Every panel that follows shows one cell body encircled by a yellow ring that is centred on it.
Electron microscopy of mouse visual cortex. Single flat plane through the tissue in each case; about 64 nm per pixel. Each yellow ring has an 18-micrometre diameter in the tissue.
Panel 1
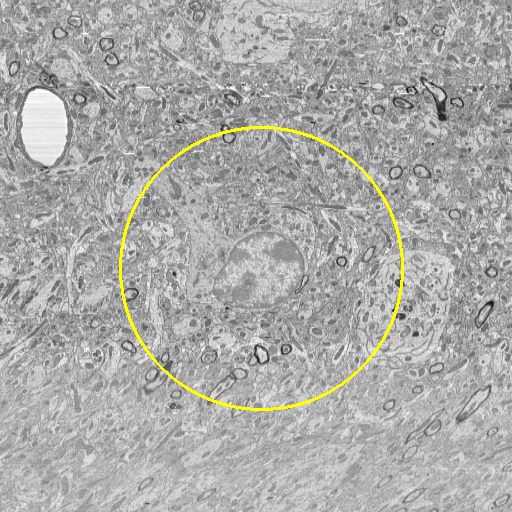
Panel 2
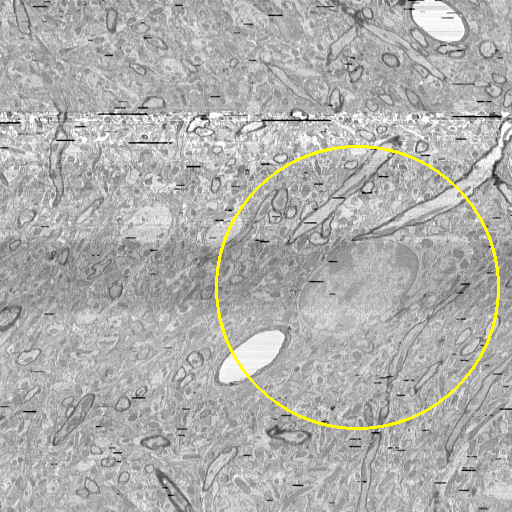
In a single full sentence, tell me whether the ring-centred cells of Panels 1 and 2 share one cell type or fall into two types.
In Panel 1 and Panel 2, the cells at the ring centres share one cell type.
